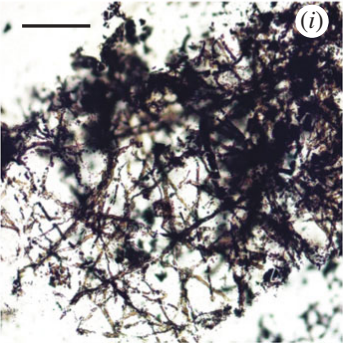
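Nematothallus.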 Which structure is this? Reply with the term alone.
Wefts of tubes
